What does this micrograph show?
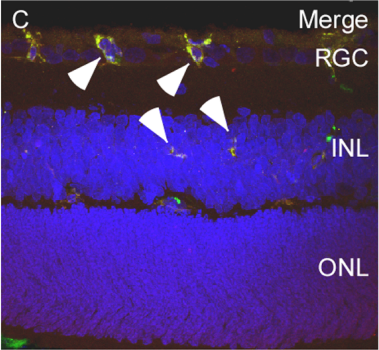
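A retinal cross-section shows a thin row of nuclei at the inner surface, a thick band of packed blue nuclei in the middle, and a broad outer band of nuclei below. They are compact, rounded or irregular bodies with only short, stubby extensions, not long branching processes.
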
